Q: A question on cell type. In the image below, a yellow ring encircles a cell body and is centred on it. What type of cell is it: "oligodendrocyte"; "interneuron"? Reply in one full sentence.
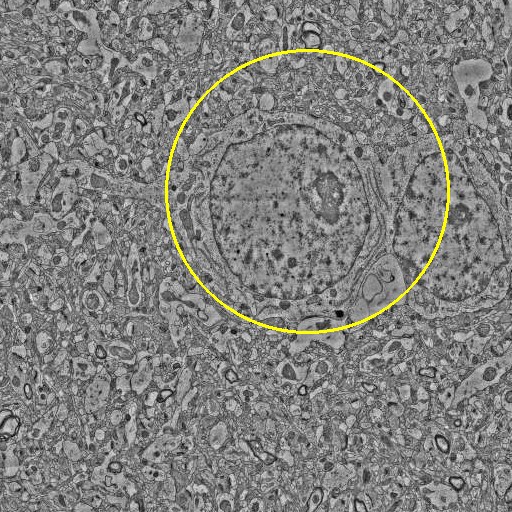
It is an interneuron whose cell body sits at the centre of the yellow ring in the image.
